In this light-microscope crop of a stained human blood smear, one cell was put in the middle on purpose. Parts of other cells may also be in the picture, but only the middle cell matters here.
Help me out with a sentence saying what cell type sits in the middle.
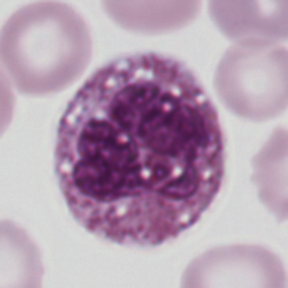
Within this crop, an eosinophil occupies the central position.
